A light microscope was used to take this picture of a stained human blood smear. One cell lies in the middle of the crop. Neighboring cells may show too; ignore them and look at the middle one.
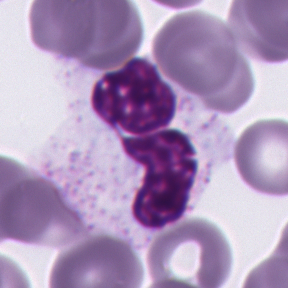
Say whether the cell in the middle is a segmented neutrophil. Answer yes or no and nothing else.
yes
